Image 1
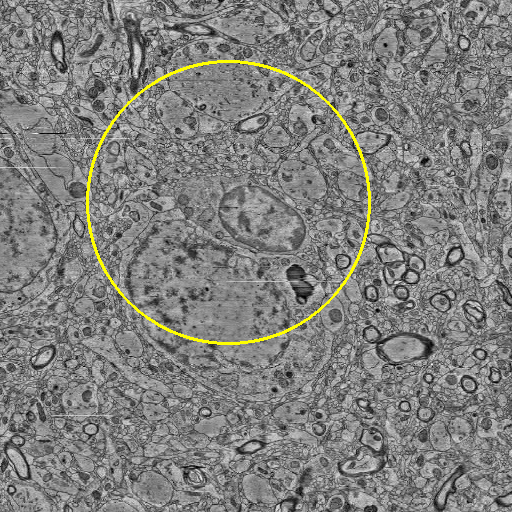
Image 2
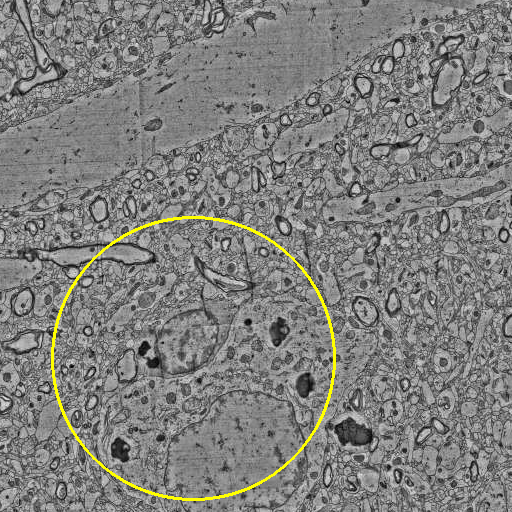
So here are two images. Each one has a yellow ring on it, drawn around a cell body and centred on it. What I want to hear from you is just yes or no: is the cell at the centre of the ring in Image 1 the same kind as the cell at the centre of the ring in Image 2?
yes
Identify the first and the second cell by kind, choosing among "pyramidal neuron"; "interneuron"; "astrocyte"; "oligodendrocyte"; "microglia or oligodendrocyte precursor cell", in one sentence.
Each of the two pictures has an oligodendrocyte at the ring centre.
